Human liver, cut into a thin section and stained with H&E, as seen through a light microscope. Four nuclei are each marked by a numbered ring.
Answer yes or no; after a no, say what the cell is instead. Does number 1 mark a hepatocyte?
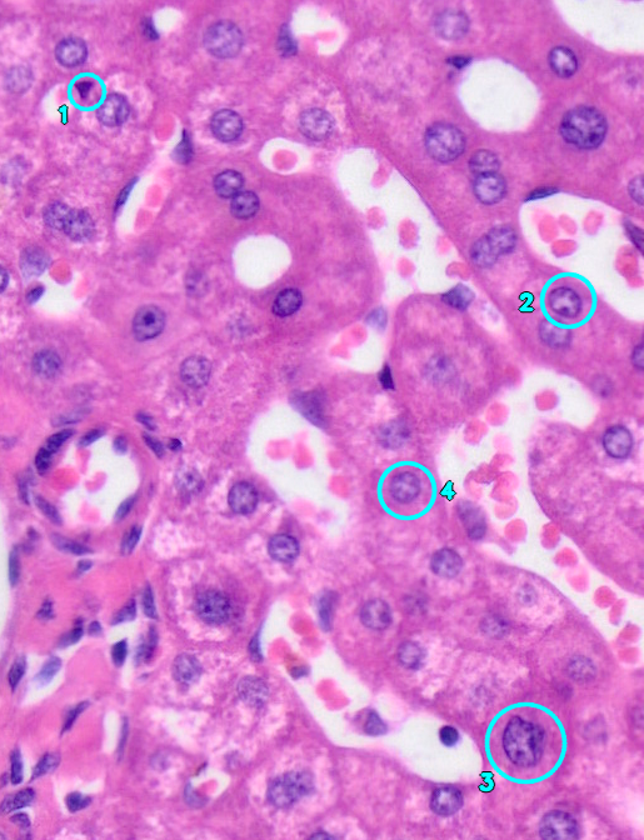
No, it is a fibroblast or stellate cell.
